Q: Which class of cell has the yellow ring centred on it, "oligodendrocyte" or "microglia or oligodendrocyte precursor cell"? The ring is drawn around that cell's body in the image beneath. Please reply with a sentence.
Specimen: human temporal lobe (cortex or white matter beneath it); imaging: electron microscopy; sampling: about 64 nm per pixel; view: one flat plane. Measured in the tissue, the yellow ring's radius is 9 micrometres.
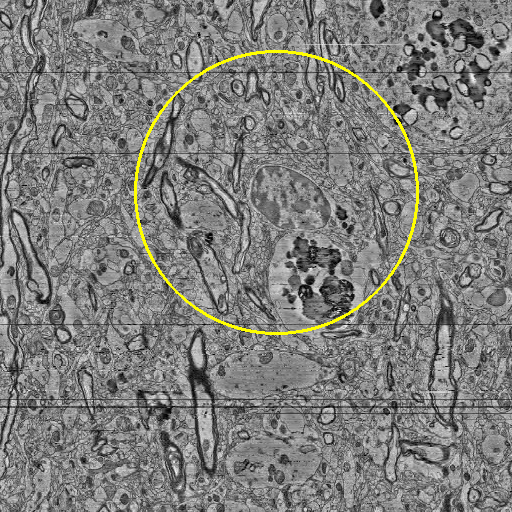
It is centred on a microglial cell or oligodendrocyte precursor cell.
